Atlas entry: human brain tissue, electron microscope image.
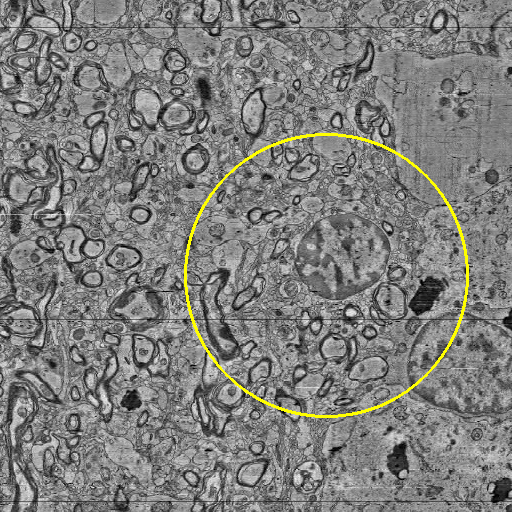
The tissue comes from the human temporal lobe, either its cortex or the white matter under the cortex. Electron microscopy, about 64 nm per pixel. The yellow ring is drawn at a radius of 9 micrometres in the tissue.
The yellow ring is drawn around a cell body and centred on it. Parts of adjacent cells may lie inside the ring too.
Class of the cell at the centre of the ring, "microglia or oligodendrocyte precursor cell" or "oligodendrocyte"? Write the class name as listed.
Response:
microglia or oligodendrocyte precursor cell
